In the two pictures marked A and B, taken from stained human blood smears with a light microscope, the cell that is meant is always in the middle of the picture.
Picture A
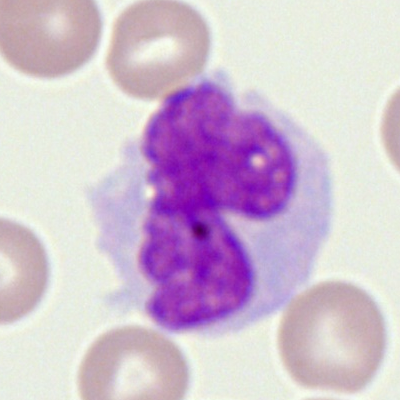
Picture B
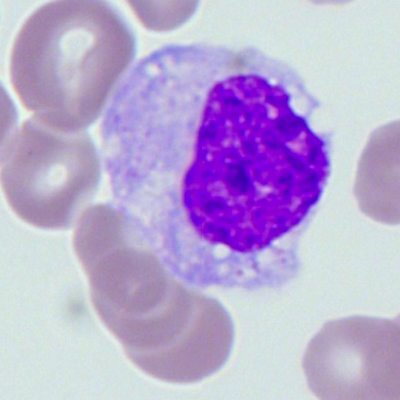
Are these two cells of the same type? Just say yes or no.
yes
